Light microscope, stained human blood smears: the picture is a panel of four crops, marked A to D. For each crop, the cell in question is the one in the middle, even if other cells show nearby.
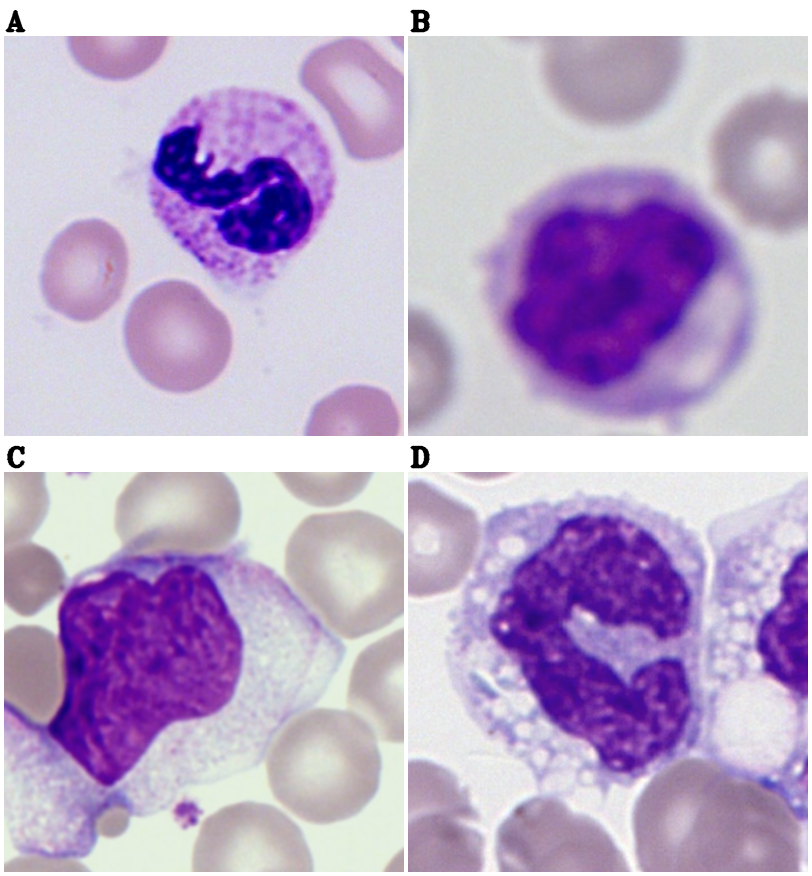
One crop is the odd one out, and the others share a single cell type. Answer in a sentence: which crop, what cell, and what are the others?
Among these crops, monocytes occur in all but crop A, which contains a segmented neutrophil.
